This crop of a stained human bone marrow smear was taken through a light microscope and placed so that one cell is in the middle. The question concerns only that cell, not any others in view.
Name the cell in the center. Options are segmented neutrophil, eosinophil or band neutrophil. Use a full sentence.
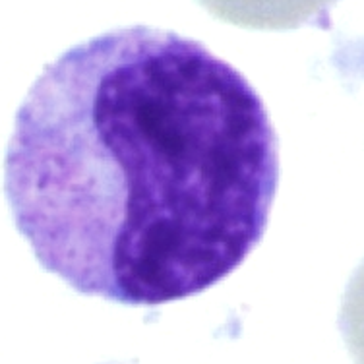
The cell at the heart of this crop is a band neutrophil.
